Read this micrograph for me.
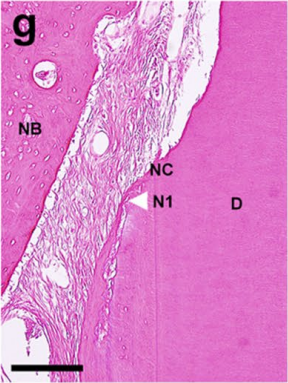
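Interface between new bone, a fibrous connective tissue band and root dentin, with a thin layer of new cementum on the root surface. The new bone at the upper left is pink and contains scattered lacunae holding small cells. A band of fibrous tissue with elongated nuclei and small vessels runs obliquely between the bone and the root. The root dentin on the right is homogeneous pink without cells.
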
